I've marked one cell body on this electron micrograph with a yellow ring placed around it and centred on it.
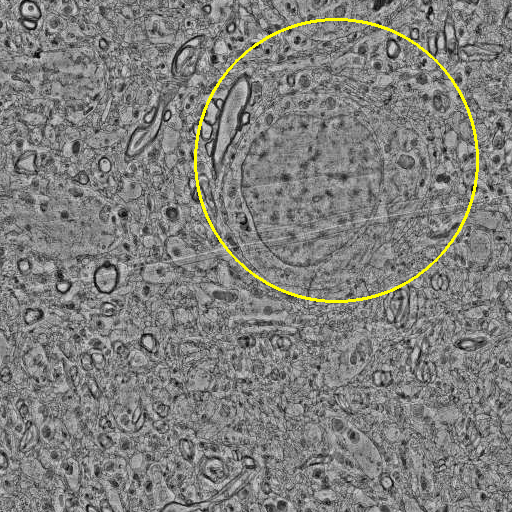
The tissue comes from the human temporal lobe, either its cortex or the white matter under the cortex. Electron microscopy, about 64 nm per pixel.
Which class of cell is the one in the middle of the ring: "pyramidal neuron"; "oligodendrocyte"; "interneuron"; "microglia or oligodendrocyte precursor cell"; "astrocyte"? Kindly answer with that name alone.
pyramidal neuron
